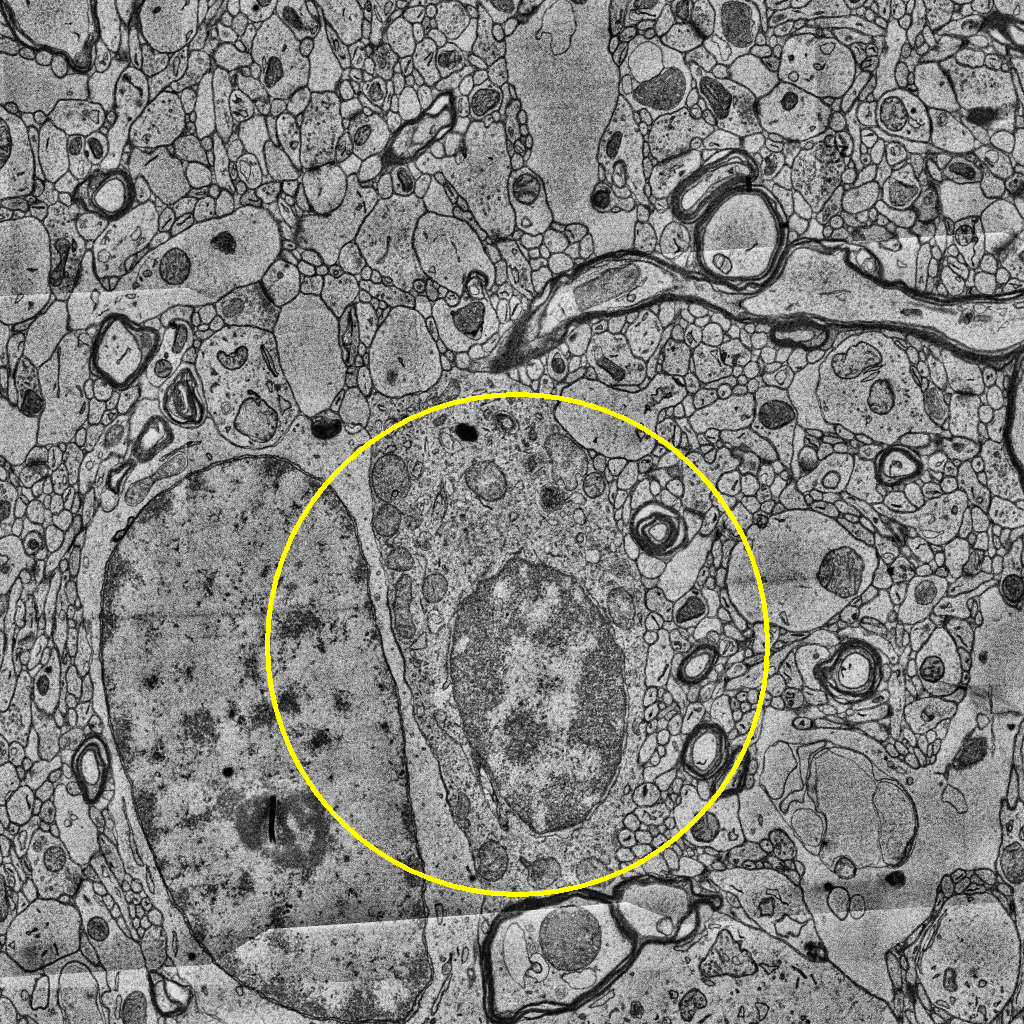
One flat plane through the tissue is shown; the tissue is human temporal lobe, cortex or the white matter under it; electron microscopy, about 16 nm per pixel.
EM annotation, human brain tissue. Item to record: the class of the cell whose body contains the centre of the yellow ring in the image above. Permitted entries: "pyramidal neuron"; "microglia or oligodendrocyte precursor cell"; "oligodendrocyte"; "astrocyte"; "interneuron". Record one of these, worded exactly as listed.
oligodendrocyte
